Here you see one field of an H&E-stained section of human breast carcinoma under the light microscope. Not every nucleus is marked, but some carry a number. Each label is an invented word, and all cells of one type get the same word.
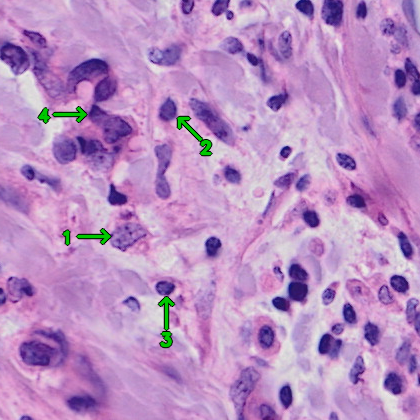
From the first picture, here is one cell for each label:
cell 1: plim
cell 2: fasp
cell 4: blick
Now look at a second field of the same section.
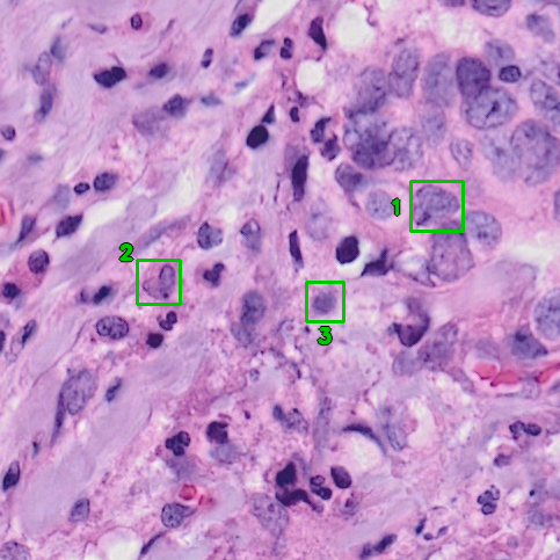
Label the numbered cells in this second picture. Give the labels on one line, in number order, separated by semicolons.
blick; plim; plim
